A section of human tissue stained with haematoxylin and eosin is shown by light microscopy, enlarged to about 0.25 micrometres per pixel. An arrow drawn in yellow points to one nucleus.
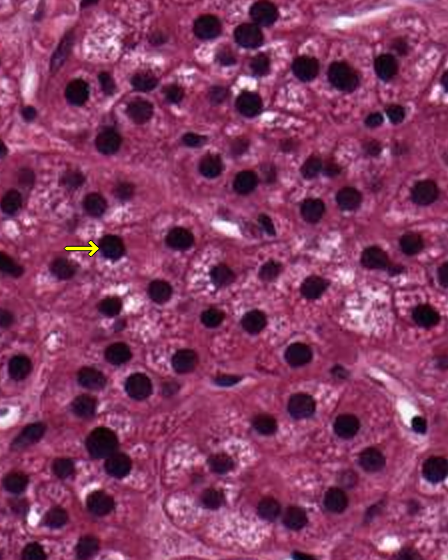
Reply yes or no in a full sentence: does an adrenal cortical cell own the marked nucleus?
Yes, the marked nucleus forms part of an adrenal cortical cell.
